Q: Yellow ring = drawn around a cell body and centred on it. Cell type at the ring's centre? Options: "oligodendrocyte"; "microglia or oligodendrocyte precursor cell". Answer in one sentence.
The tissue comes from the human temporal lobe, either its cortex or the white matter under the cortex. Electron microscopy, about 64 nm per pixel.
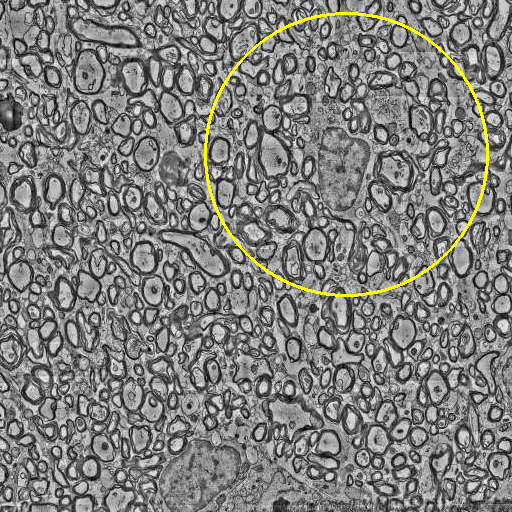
Centred in the ring is an oligodendrocyte.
